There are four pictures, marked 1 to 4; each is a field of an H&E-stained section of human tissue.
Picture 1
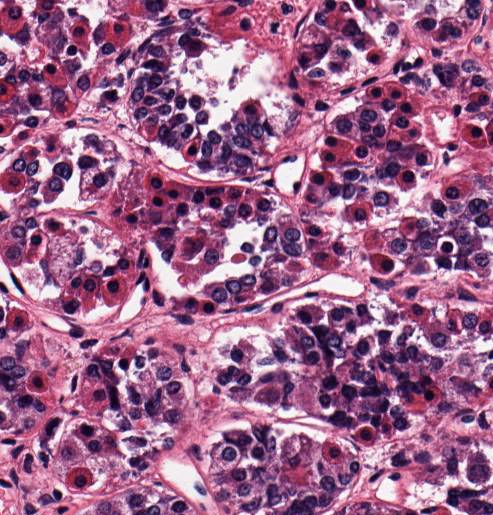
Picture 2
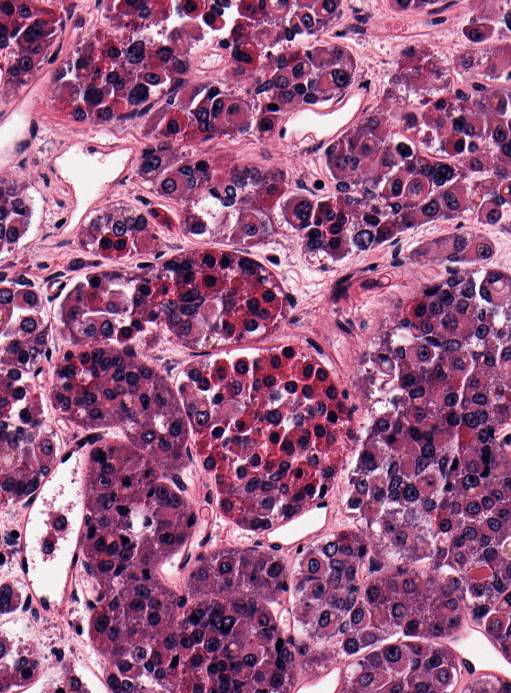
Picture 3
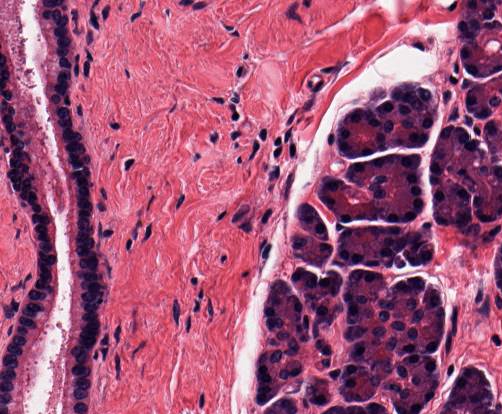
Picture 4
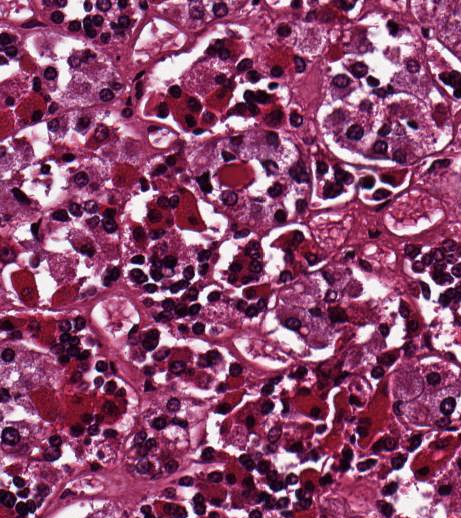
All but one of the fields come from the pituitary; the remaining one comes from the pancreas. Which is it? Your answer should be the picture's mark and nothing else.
3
